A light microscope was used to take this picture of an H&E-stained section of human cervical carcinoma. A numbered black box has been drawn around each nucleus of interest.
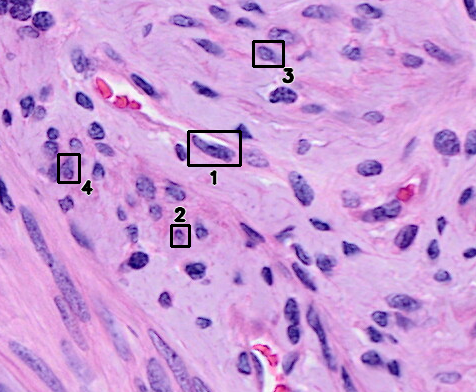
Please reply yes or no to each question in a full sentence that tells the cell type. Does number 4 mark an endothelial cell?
No, the marked cell 4 is not an endothelial cell, being instead a smooth muscle cell.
